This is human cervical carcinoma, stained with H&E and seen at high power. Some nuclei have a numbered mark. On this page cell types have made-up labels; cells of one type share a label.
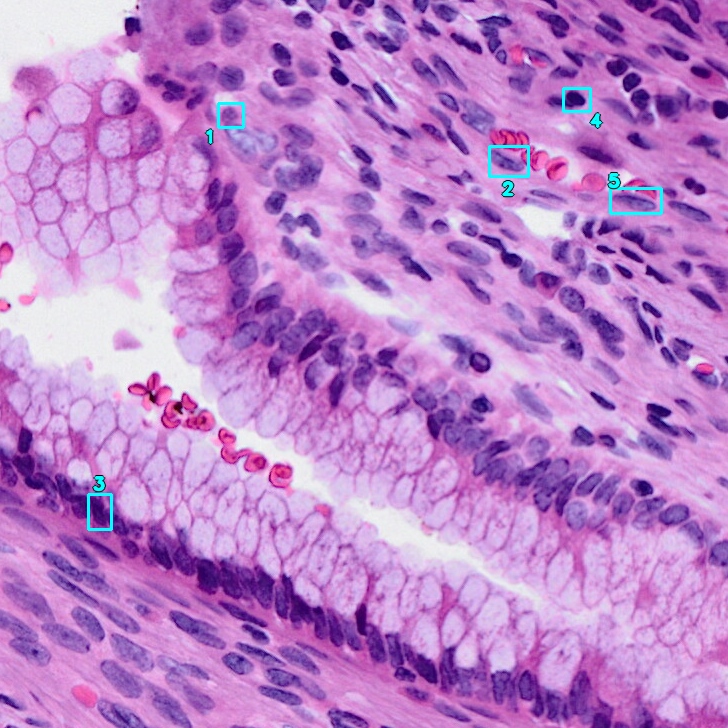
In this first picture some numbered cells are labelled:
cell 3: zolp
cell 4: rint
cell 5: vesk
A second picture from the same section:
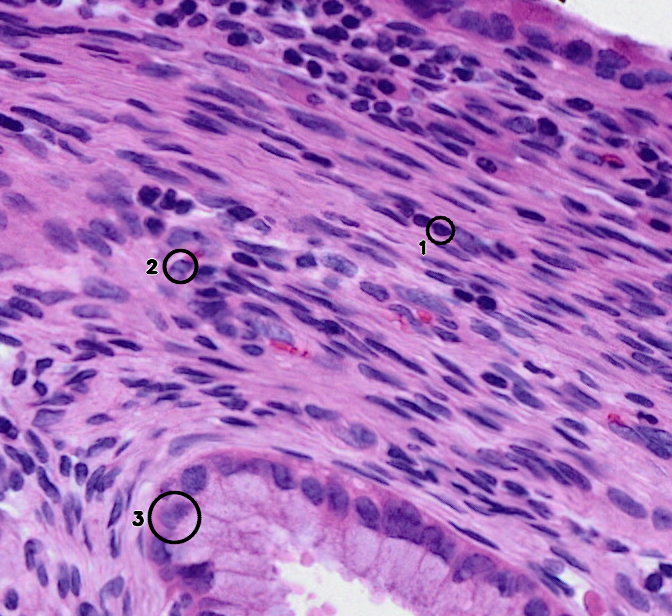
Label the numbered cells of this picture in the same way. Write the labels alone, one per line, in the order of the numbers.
rint
vesk
zolp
